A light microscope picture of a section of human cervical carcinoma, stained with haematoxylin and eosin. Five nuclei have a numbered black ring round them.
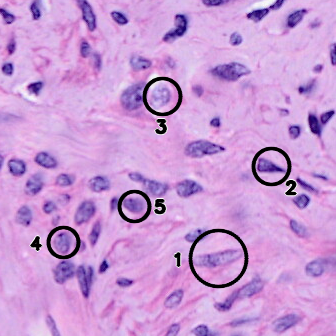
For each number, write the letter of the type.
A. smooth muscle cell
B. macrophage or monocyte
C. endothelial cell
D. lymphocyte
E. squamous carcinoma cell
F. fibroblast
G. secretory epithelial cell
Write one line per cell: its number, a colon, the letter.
1: A
2: F
3: C
4: A
5: A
